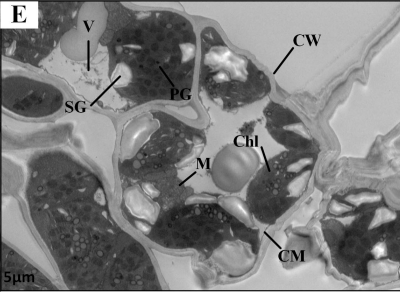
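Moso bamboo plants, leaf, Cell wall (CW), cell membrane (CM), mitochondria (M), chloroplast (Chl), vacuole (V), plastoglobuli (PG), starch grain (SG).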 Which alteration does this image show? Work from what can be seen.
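Cell walls are wavy and folded rather than smooth. Chloroplasts are irregular in shape and crowded with dark granules. Cell contents look disorganised and fragmented. That points to this answer: severe ultrastructural damages.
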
